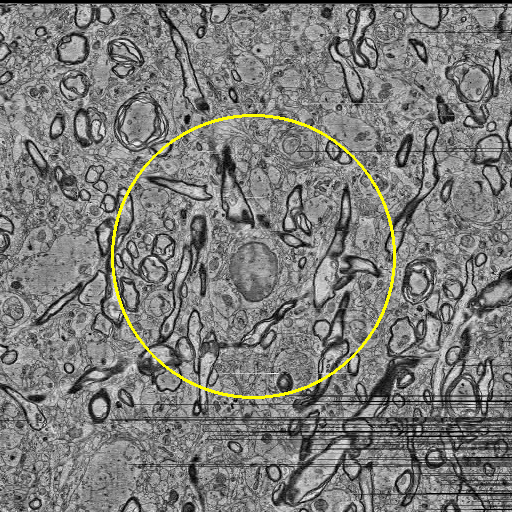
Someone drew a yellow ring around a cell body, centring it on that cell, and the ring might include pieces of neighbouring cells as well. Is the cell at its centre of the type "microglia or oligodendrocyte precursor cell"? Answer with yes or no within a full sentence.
Yes, within the picture, the cell the ring is centred on qualifies as that type.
